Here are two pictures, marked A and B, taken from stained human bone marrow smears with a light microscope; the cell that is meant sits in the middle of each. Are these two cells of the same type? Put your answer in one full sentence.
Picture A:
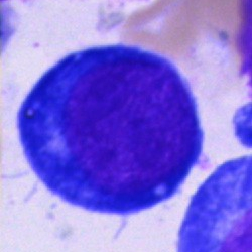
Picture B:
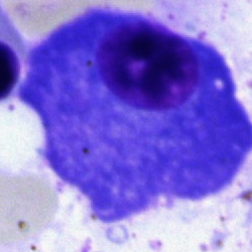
No, the types are not the same, since picture A shows a proerythroblast and picture B a plasma cell.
